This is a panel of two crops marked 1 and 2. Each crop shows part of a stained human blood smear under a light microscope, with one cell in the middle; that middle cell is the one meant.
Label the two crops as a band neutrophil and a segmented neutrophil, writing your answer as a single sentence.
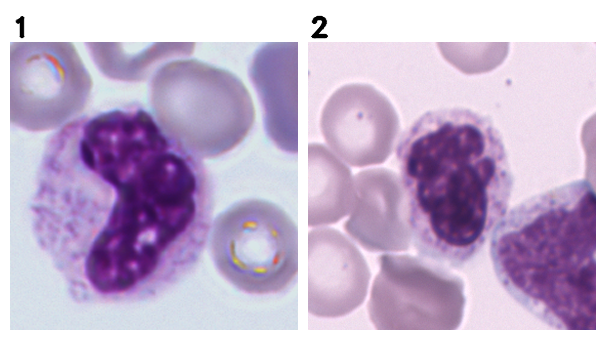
Classification: crop 1 is a band neutrophil, crop 2 is a segmented neutrophil.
